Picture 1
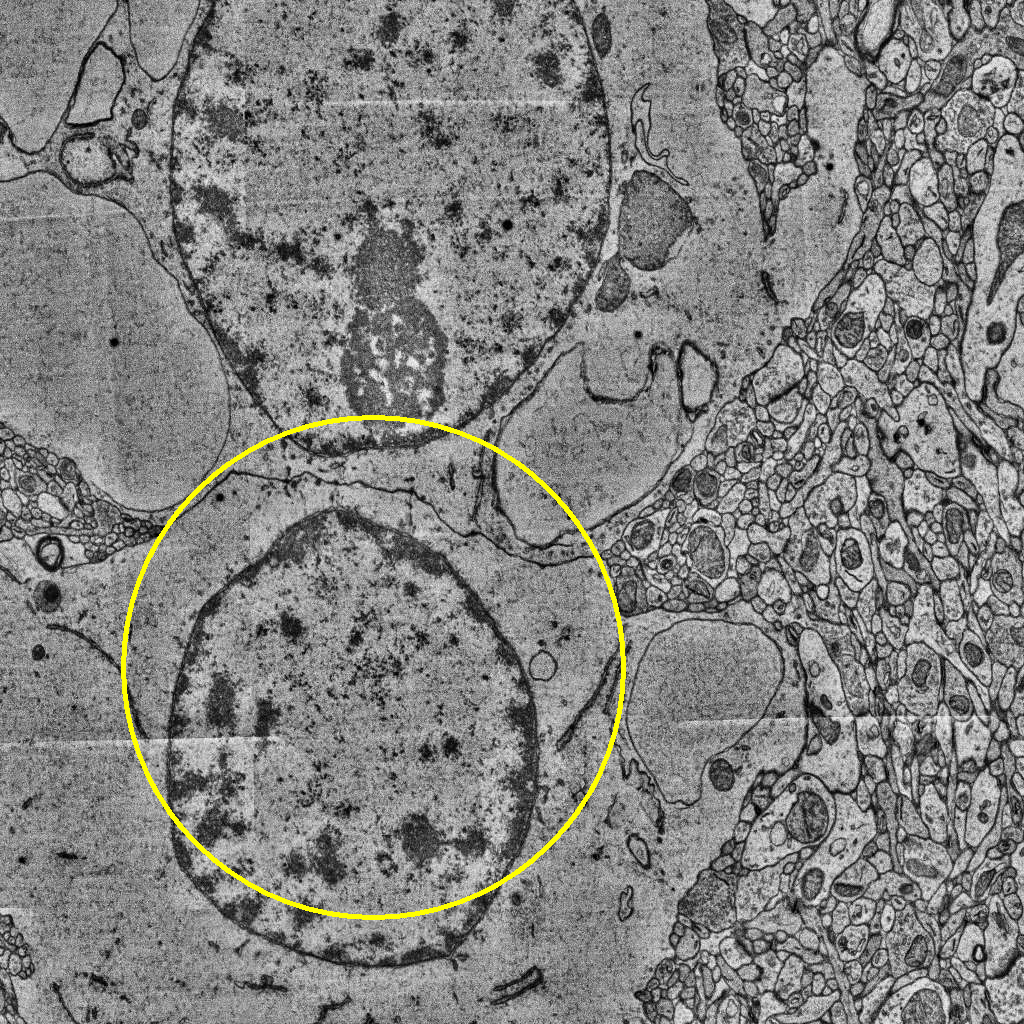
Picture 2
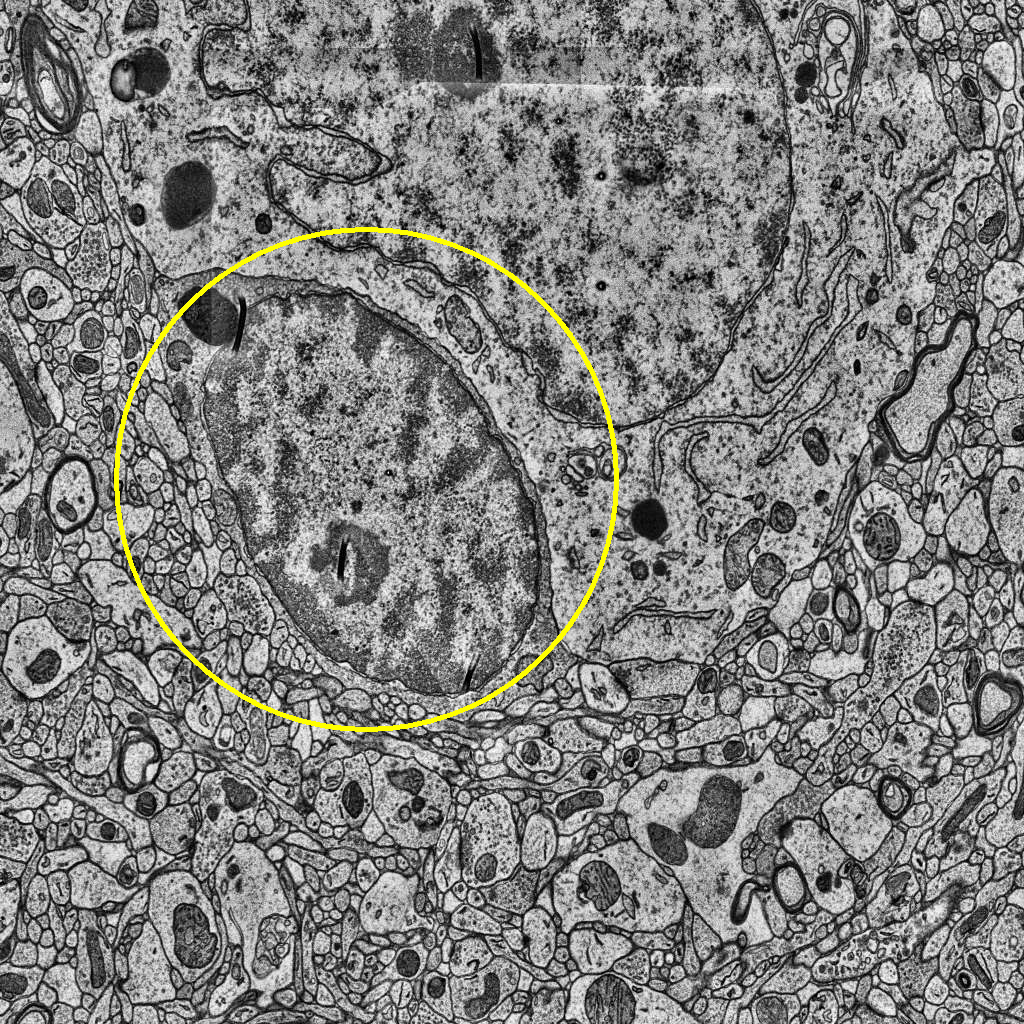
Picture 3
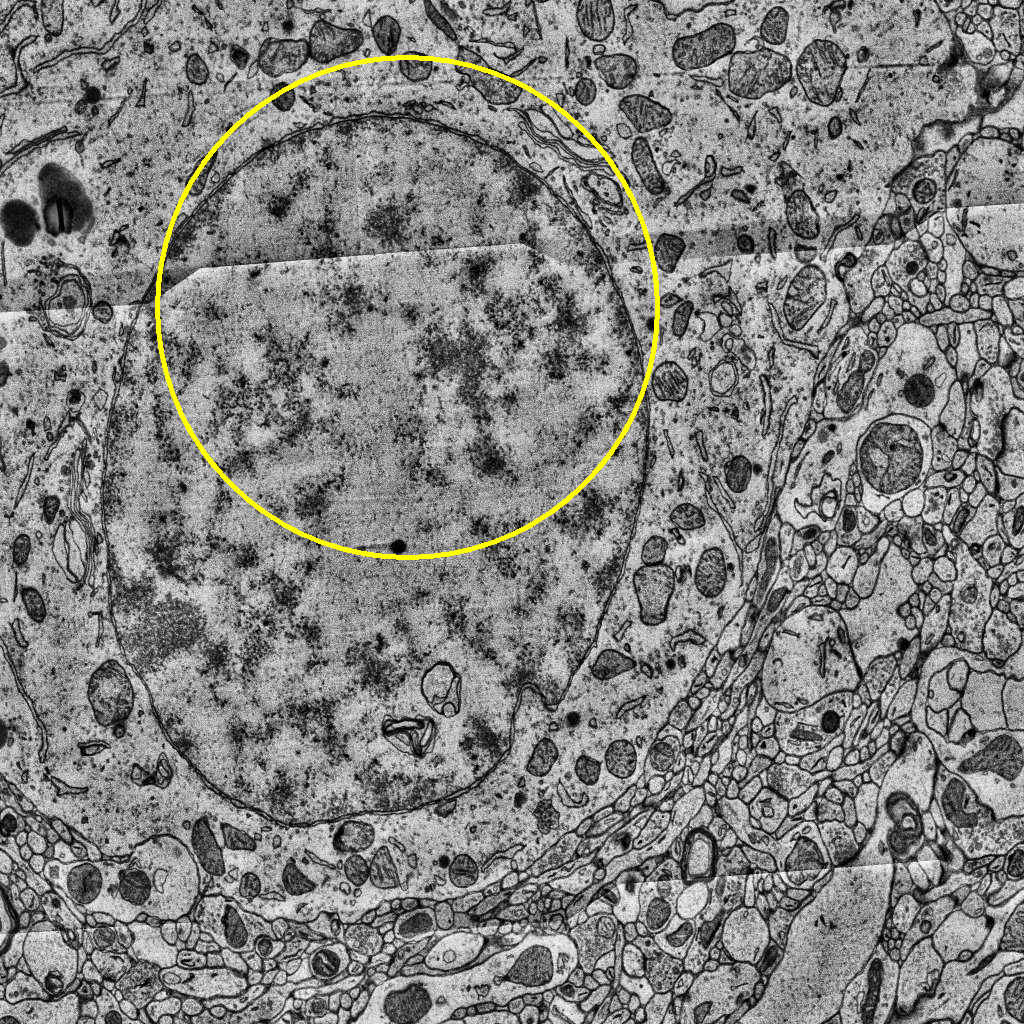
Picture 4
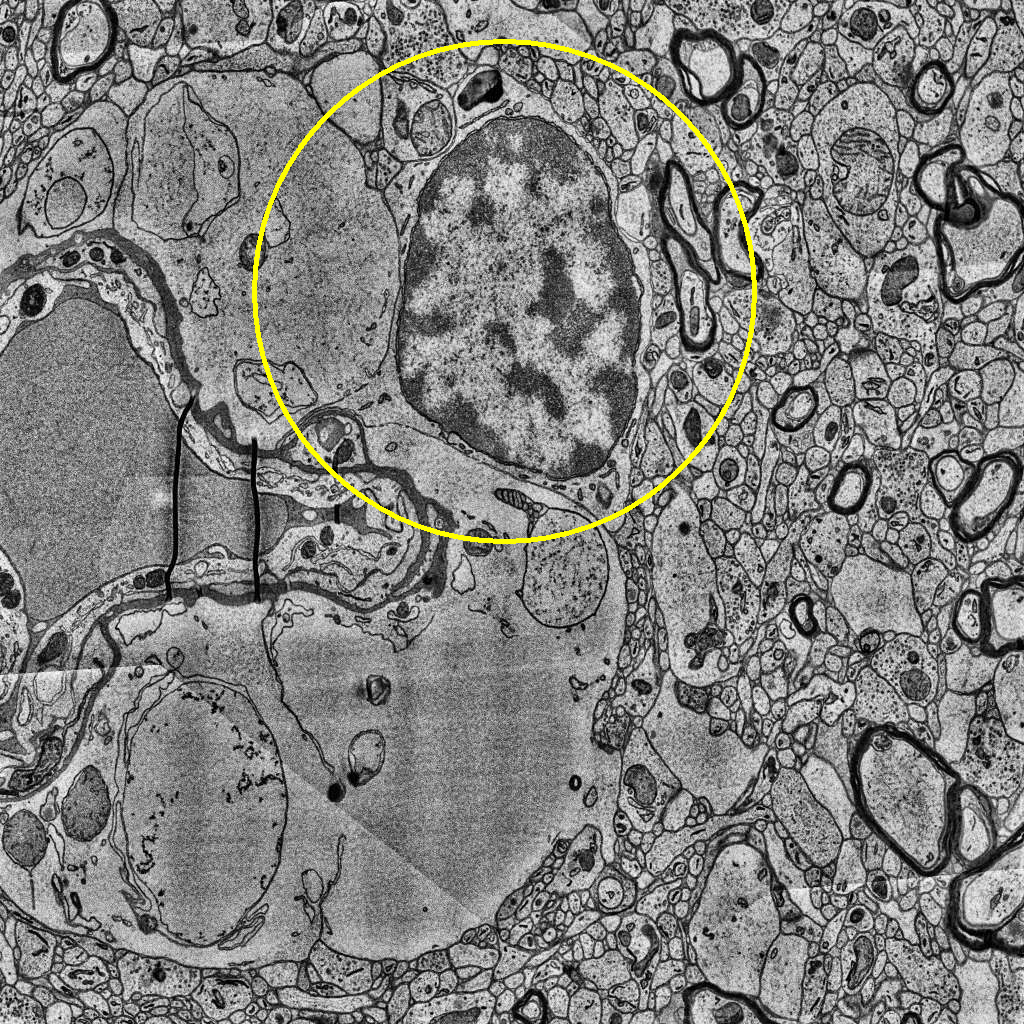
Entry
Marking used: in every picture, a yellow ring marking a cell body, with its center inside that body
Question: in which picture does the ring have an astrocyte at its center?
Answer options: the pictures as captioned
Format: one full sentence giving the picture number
Picture 1 is where the ring's center falls on the requested cell.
